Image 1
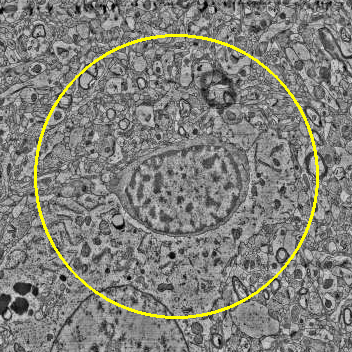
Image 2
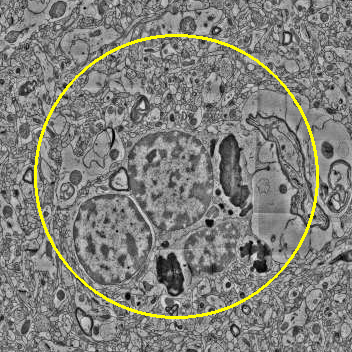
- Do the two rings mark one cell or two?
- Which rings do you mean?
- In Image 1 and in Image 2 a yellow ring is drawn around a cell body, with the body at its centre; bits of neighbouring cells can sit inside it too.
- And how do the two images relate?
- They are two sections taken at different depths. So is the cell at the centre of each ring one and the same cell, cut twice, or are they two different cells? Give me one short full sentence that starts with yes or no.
No, the two rings refer to two distinct cells.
